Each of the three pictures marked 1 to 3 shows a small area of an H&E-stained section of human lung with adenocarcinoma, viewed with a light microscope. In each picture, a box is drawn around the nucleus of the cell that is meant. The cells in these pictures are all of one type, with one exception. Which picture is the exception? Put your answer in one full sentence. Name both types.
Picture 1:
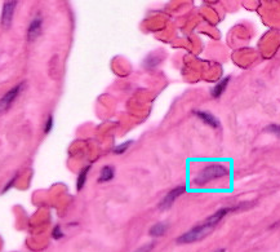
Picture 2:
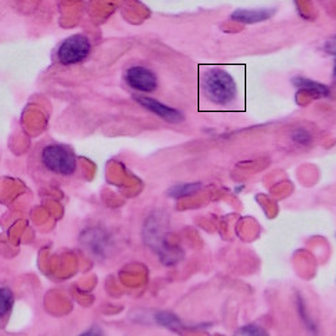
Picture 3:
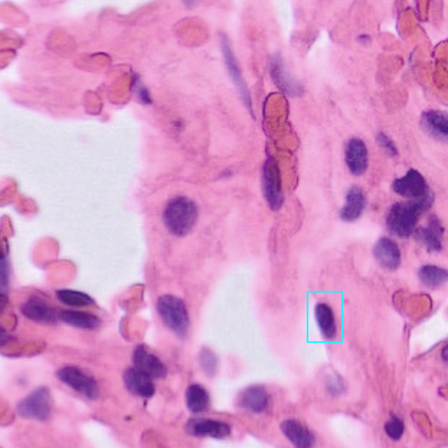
Picture 1 differs, because its cell is a “smooth muscle cell or pericyte” and the rest are type I pneumocytes.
